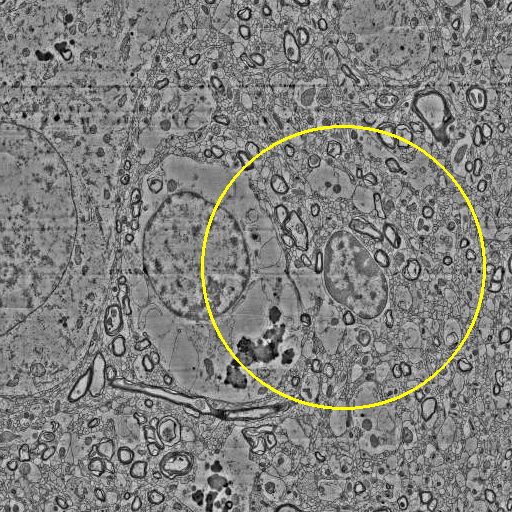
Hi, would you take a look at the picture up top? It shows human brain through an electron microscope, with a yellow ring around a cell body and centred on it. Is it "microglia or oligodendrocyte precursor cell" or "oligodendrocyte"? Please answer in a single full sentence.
The best fit for the cell in the middle of the ring is a microglial cell or oligodendrocyte precursor cell, I reckon.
